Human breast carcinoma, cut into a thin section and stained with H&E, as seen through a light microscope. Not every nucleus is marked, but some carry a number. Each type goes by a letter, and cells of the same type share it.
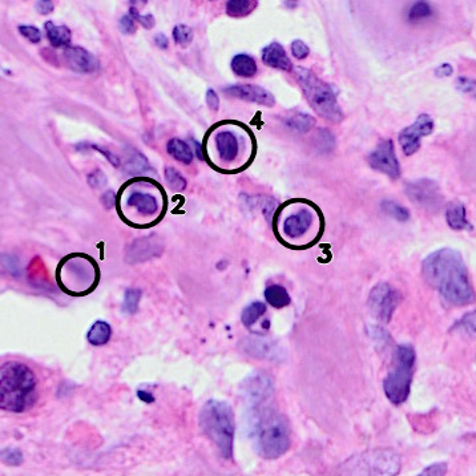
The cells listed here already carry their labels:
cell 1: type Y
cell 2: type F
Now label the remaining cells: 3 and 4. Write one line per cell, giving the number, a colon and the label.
3: type F
4: type F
